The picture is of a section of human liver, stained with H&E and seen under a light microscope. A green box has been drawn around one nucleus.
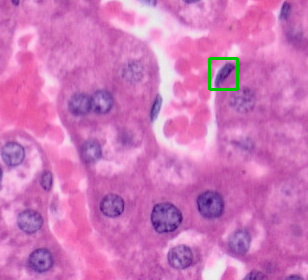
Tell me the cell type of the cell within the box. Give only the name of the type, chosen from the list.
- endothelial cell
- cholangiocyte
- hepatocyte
endothelial cell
